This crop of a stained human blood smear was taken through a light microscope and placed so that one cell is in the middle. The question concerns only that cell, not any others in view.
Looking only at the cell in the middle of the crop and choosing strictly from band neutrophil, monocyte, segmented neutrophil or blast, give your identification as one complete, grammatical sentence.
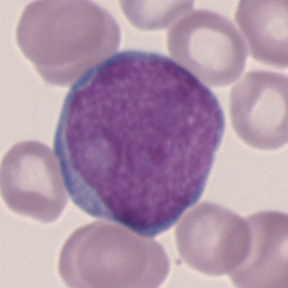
Within this crop, a blast occupies the central position.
